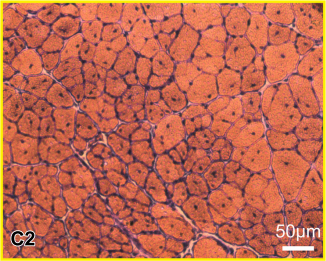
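This is a cross section of skeletal muscle made up of closely packed regenerating myofibers. Many fibers hold a single dark nucleus near their centre rather than beneath the edge of the fiber. Fiber size varies moderately across the field. Little cellular infiltrate lies between the fibers, and the tissue architecture appears largely restored.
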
